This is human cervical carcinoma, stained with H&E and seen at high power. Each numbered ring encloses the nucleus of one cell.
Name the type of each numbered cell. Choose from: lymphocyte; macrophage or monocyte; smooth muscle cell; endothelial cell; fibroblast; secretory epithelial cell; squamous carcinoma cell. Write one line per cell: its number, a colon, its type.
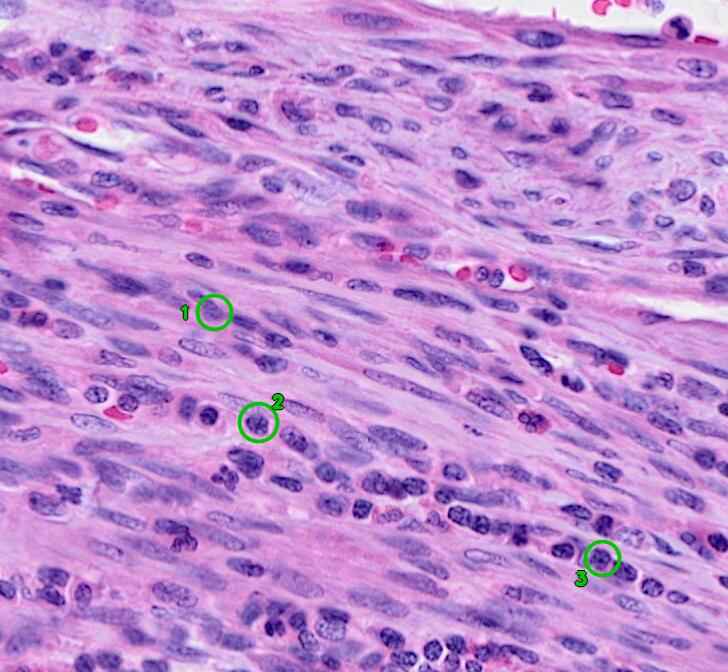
1: smooth muscle cell
2: lymphocyte
3: lymphocyte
